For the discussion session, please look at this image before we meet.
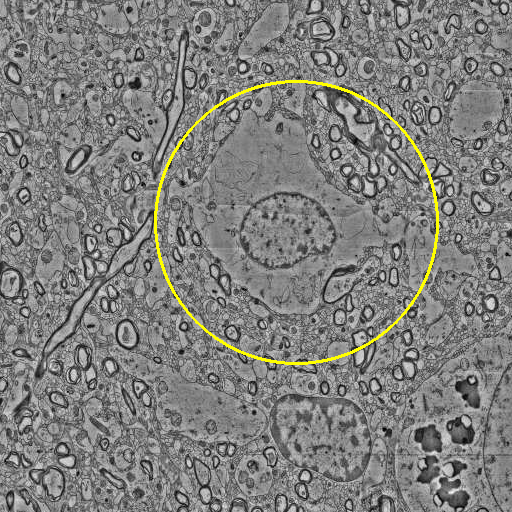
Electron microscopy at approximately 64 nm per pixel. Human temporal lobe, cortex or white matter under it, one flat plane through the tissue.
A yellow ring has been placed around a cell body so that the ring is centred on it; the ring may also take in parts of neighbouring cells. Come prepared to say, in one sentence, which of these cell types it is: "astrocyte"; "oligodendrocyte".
The cell centred in the ring is an astrocyte.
